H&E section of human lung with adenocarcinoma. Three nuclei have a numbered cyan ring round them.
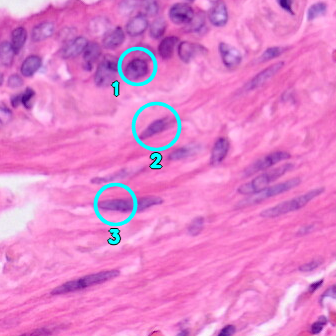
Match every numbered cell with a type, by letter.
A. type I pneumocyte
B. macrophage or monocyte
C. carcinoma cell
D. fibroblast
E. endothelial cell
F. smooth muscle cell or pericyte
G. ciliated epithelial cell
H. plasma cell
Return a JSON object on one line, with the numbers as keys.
{"1": "G", "2": "F", "3": "F"}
